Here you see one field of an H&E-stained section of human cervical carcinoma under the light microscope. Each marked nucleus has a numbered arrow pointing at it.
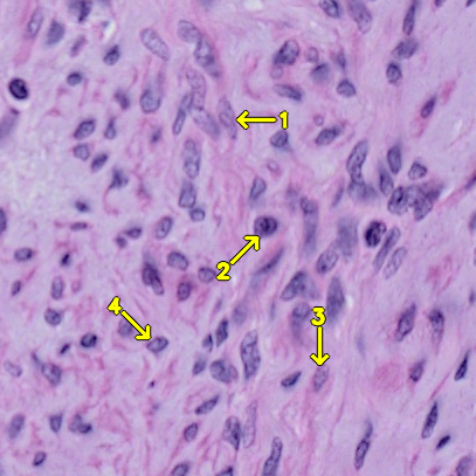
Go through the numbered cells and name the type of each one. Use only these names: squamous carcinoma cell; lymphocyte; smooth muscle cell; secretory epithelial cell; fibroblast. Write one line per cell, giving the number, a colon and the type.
1: smooth muscle cell
2: lymphocyte
3: smooth muscle cell
4: smooth muscle cell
